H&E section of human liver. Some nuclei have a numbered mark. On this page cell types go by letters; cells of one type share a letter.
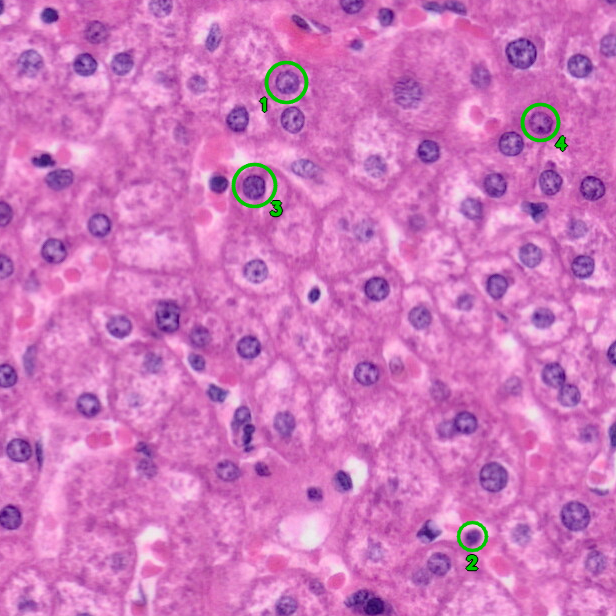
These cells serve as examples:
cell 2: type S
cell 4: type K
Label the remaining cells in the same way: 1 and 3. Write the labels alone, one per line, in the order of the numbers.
type K
type K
